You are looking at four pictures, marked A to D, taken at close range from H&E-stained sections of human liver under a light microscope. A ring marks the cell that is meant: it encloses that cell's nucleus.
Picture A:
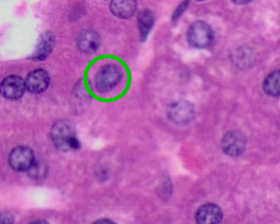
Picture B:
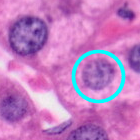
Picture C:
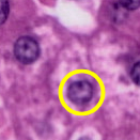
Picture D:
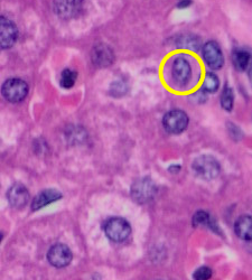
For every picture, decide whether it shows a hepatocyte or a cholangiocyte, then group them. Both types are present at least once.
A: cholangiocyte
B: hepatocyte
C: hepatocyte
D: cholangiocyte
